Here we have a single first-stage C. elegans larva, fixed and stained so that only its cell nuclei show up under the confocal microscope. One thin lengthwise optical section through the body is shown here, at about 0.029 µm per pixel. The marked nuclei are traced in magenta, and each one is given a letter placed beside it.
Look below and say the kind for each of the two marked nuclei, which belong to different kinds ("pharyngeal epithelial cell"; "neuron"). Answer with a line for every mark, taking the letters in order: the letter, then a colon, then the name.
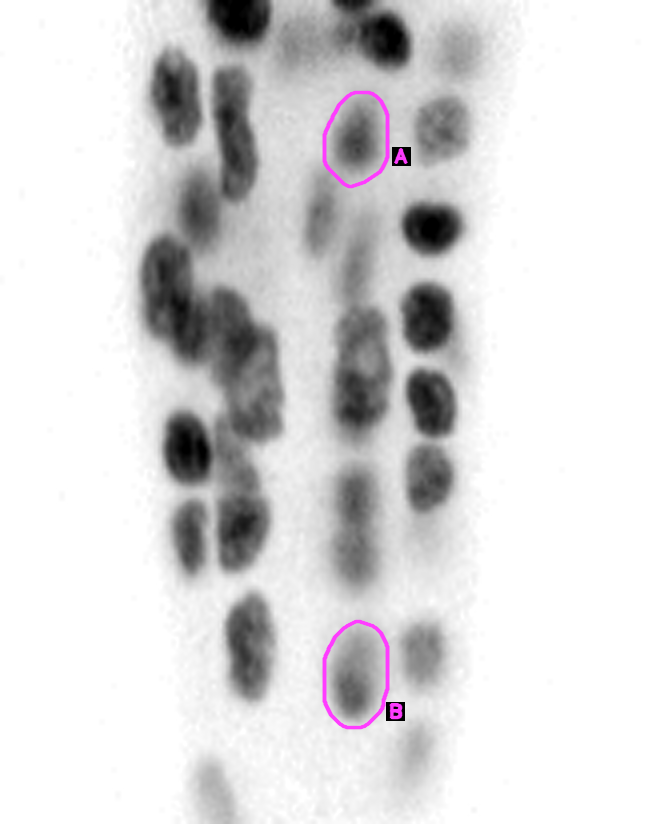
A: neuron
B: pharyngeal epithelial cell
